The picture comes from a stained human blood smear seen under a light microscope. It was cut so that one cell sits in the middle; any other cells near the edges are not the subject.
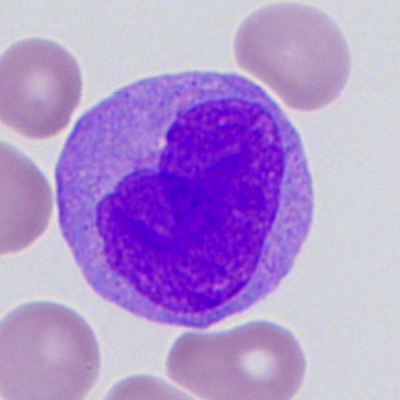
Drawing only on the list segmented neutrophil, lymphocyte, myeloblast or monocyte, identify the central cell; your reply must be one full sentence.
In the centre of this crop there is a myeloblast.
